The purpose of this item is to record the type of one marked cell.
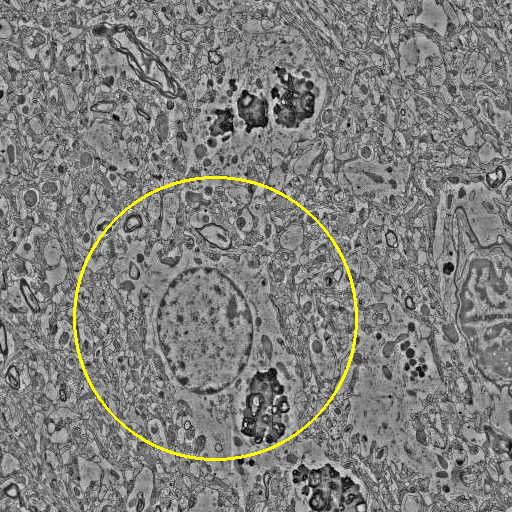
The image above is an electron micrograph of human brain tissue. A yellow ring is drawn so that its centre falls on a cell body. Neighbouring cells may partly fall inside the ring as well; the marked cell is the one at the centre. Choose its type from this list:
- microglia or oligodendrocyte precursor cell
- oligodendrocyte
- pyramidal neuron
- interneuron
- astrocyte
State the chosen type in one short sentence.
What the ring marks here is an astrocyte.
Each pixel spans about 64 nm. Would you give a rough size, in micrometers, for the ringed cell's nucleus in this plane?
Approximately 9 by 6 micrometers in this plane.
